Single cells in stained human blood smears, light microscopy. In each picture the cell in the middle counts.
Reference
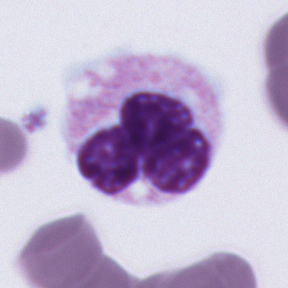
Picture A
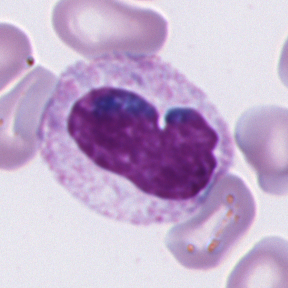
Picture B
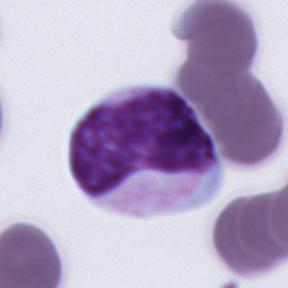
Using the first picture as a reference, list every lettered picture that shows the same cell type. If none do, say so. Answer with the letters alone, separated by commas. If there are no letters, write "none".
none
